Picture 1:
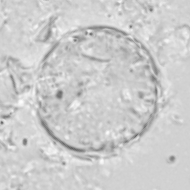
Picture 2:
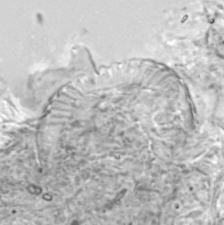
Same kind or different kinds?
Same: Cyclotella.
